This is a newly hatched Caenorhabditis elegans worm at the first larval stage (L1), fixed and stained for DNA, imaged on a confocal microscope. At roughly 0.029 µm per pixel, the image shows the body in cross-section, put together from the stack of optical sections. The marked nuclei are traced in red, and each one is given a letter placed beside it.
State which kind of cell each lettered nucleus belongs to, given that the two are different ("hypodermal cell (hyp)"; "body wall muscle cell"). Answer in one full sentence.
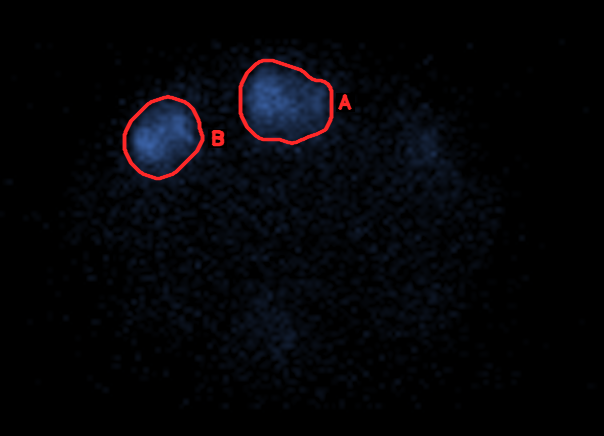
Nucleus A comes from a hypodermal cell (hyp) and nucleus B from a body wall muscle cell.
